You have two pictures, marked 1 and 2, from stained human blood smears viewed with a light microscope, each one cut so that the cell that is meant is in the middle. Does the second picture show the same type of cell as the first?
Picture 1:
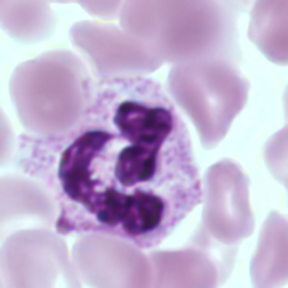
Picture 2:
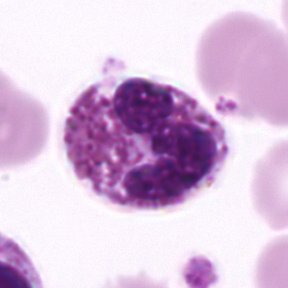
no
